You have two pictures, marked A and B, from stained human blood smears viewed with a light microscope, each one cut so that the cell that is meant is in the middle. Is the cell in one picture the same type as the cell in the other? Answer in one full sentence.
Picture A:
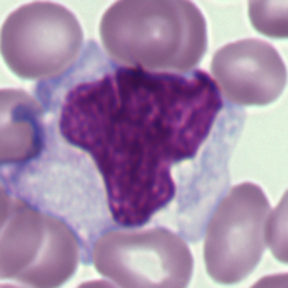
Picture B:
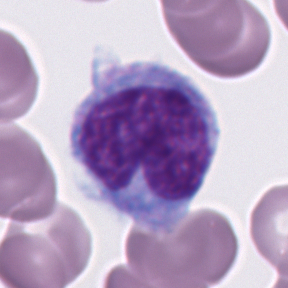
Yes; the cells in both pictures are monocytes.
